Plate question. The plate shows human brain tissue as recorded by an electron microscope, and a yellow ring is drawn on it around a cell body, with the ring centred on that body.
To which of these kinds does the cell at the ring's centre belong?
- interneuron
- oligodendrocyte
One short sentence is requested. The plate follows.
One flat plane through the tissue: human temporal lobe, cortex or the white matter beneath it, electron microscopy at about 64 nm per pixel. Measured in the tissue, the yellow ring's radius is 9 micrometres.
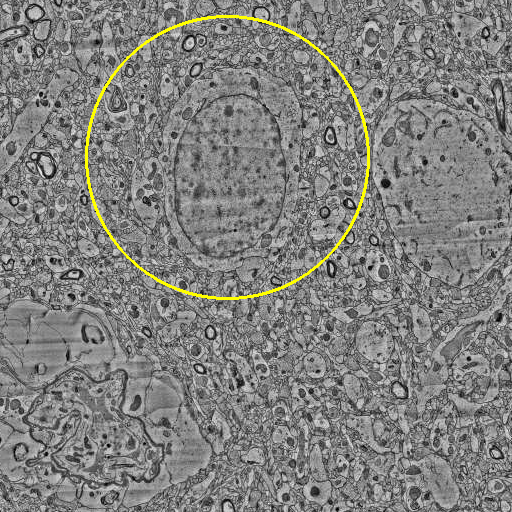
The cell at the ring's centre is an interneuron.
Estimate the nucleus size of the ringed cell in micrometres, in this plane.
In this plane the nucleus measures roughly 11 by 7 micrometres.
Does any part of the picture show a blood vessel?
Yes, a vessel shows somewhere in the image.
